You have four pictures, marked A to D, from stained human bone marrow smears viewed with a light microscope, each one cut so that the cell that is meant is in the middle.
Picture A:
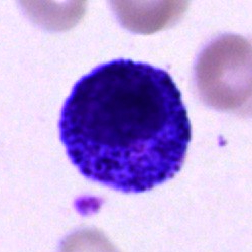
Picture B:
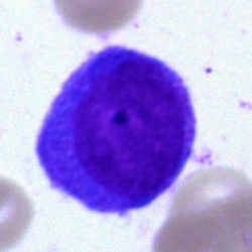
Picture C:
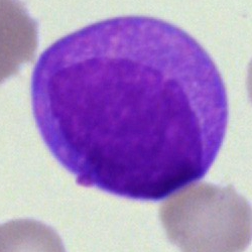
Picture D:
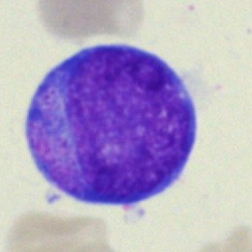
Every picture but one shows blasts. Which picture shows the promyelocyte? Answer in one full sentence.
The picture with the promyelocyte is A.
